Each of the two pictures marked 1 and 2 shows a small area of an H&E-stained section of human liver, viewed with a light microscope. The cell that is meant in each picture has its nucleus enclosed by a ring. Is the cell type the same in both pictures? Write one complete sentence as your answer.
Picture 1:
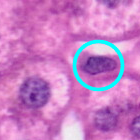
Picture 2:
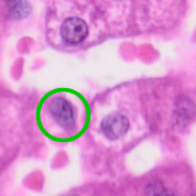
Yes, they are the same type: both are Kupffer cells.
